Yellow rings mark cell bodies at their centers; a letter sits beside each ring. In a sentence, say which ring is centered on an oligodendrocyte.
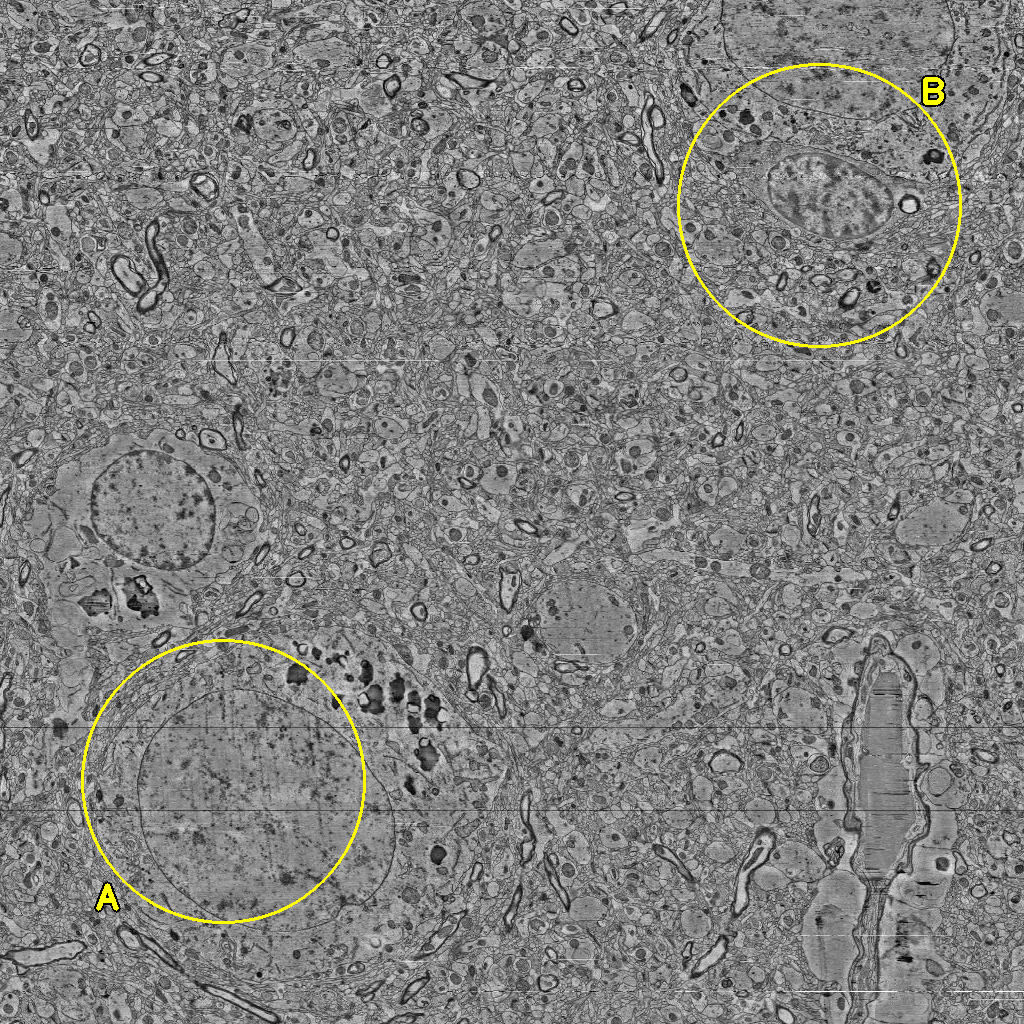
It is ring B.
